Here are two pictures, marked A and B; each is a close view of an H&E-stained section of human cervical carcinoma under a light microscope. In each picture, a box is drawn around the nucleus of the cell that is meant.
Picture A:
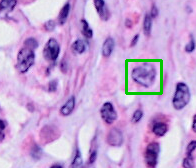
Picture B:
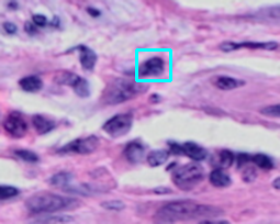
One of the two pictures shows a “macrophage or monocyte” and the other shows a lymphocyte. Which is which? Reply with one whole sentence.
In picture A the cell is a “macrophage or monocyte”; in picture B, a lymphocyte.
